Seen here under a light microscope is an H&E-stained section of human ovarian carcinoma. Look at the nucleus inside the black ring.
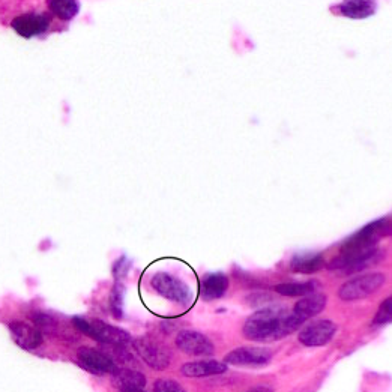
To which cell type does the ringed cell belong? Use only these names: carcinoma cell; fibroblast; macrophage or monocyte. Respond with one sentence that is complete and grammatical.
As classified here, the ringed cell is a macrophage or monocyte.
